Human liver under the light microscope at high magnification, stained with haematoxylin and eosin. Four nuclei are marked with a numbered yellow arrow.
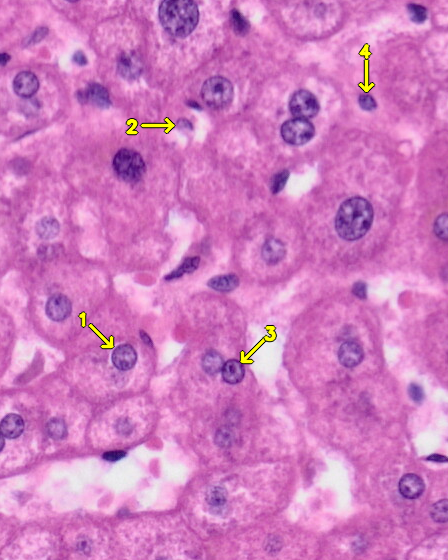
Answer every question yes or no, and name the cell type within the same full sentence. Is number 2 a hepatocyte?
No, cell 2 is not a hepatocyte; a Kupffer cell is correct.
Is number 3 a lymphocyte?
No, it is a hepatocyte, rather than a lymphocyte, that carries number 3.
